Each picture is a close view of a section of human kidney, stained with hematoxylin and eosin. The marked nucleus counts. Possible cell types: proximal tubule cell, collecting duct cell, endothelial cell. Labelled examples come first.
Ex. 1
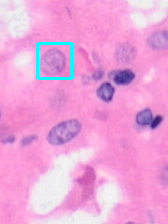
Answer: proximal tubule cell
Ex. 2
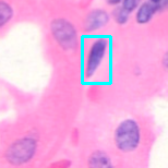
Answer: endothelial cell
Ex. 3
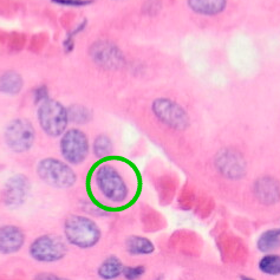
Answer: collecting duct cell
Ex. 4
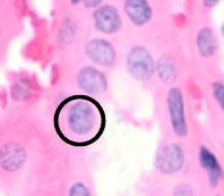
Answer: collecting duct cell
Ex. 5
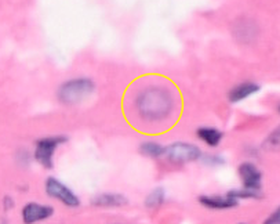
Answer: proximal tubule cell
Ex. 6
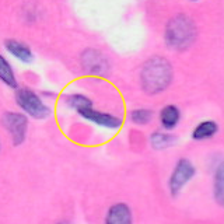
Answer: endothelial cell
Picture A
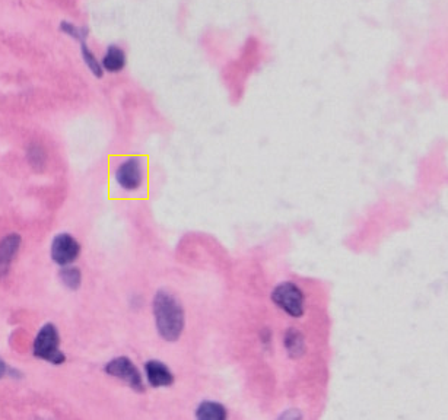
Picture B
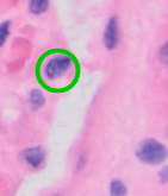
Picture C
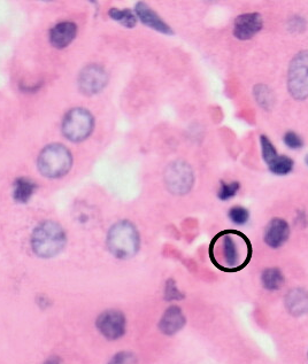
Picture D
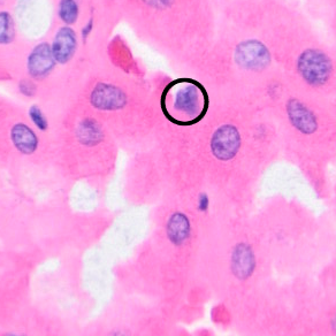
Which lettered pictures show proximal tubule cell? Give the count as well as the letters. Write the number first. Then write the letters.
0, none of them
